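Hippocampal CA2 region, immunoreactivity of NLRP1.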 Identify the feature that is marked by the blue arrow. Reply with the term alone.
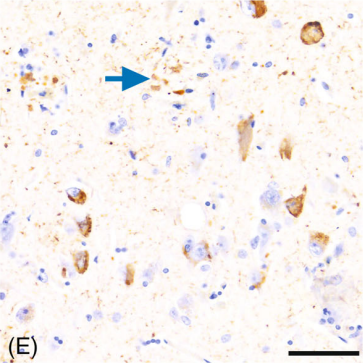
clusters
